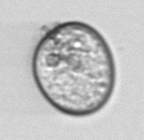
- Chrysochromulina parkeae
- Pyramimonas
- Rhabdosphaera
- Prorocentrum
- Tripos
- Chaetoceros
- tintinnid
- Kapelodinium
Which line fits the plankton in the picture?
Prorocentrum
